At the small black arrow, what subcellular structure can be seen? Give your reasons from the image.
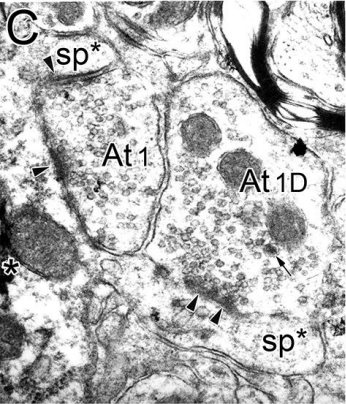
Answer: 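The arrow points to a vesicle with a dark central core. It lies among clear vesicles in a terminal profile.
Dense-core vesicles.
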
